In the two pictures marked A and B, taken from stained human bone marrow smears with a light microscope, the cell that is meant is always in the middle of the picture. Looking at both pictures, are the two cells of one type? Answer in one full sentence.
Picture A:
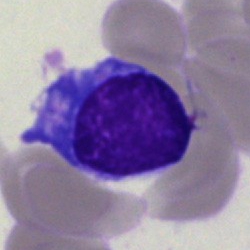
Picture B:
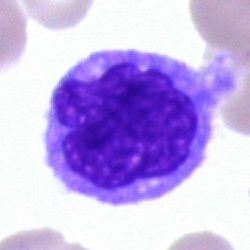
No, picture A shows a lymphocyte and picture B shows a monocyte.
